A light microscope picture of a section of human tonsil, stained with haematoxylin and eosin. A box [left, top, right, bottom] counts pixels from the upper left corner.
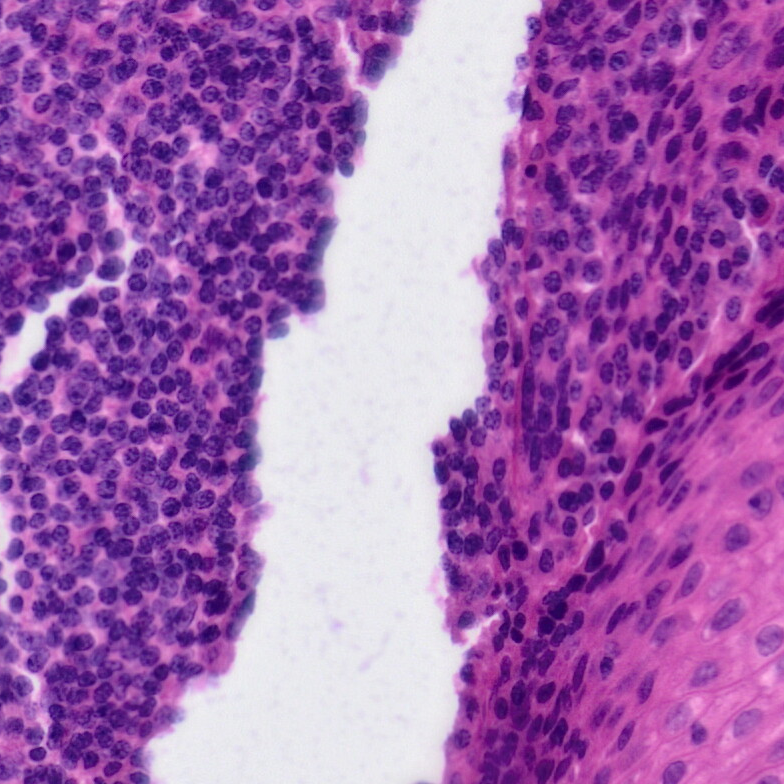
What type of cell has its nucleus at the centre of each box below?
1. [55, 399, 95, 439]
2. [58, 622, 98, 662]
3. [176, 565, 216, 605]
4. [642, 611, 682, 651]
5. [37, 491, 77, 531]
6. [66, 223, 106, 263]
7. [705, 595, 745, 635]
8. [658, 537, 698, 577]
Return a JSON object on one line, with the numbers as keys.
{"1": "small lymphocyte", "2": "small lymphocyte", "3": "small lymphocyte", "4": "squamous epithelial cell", "5": "small lymphocyte", "6": "small lymphocyte", "7": "squamous epithelial cell", "8": "squamous epithelial cell"}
